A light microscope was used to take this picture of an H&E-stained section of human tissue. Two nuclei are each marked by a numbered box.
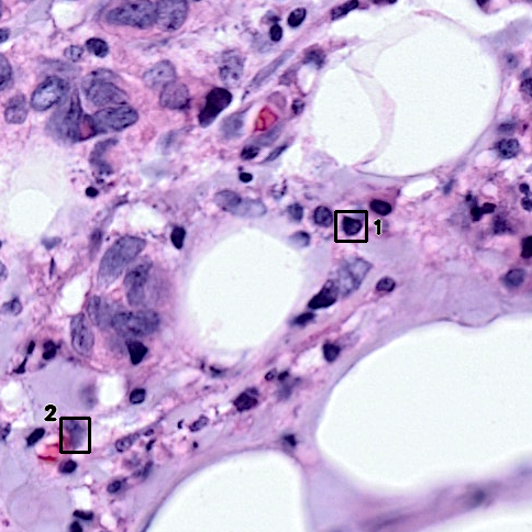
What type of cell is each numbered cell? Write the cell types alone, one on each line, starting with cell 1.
lymphocyte
endothelial cell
